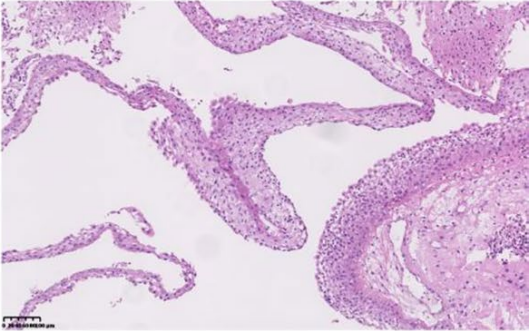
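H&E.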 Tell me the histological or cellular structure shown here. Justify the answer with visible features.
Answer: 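Finger-like projections of tissue extend into an empty, pale space. Each projection has a pink stromal center covered by a band of epithelial cells.
Hence: papillary structures with a fibrovascular core.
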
